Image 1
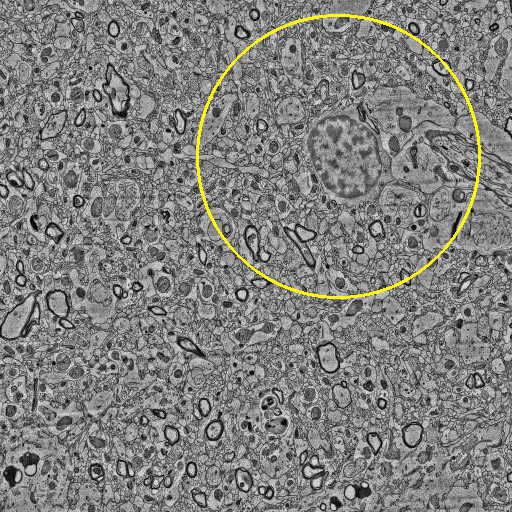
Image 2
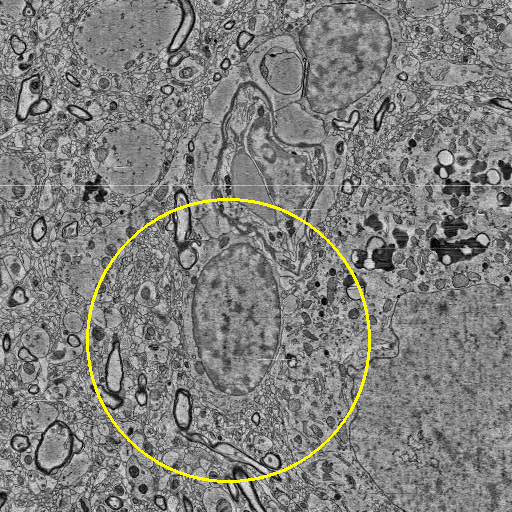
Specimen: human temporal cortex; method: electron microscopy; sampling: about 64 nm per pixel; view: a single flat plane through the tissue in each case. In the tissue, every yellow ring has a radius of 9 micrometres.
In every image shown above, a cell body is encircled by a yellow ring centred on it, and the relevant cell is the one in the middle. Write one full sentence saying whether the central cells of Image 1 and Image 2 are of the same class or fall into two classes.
The cell at the ring's centre in Image 1 and its counterpart in Image 2 are of the same class.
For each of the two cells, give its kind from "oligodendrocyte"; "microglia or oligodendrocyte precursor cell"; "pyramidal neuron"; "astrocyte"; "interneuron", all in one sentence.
In both pictures the ring is centred on an oligodendrocyte.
